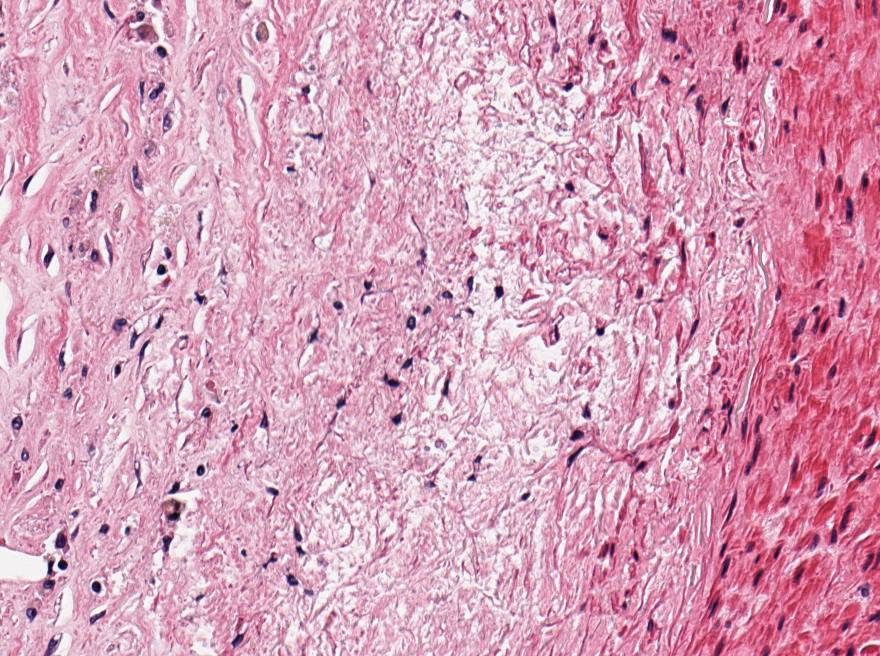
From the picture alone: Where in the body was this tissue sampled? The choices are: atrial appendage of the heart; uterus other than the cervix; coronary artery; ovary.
coronary artery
